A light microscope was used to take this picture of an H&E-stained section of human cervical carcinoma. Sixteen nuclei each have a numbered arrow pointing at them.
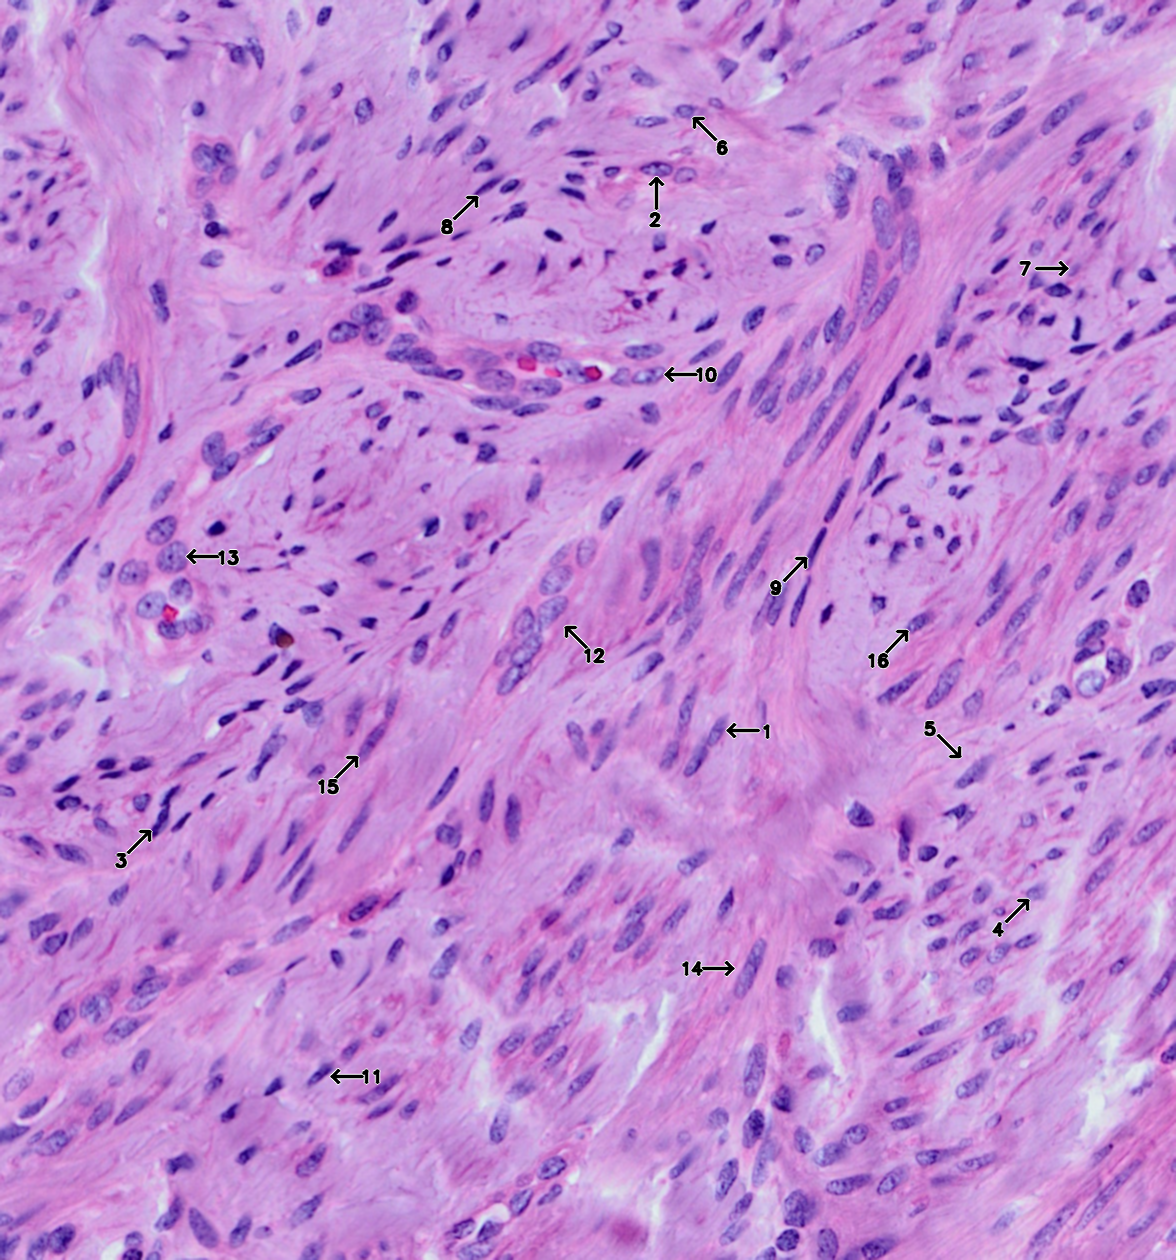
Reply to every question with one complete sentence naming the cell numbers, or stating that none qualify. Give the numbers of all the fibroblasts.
The cells with the numbers 3, 5, 8, 9 and 11 are fibroblasts.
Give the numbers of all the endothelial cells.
Within this tissue, the cells numbered 2, 10, 12 and 13 are endothelial cells.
